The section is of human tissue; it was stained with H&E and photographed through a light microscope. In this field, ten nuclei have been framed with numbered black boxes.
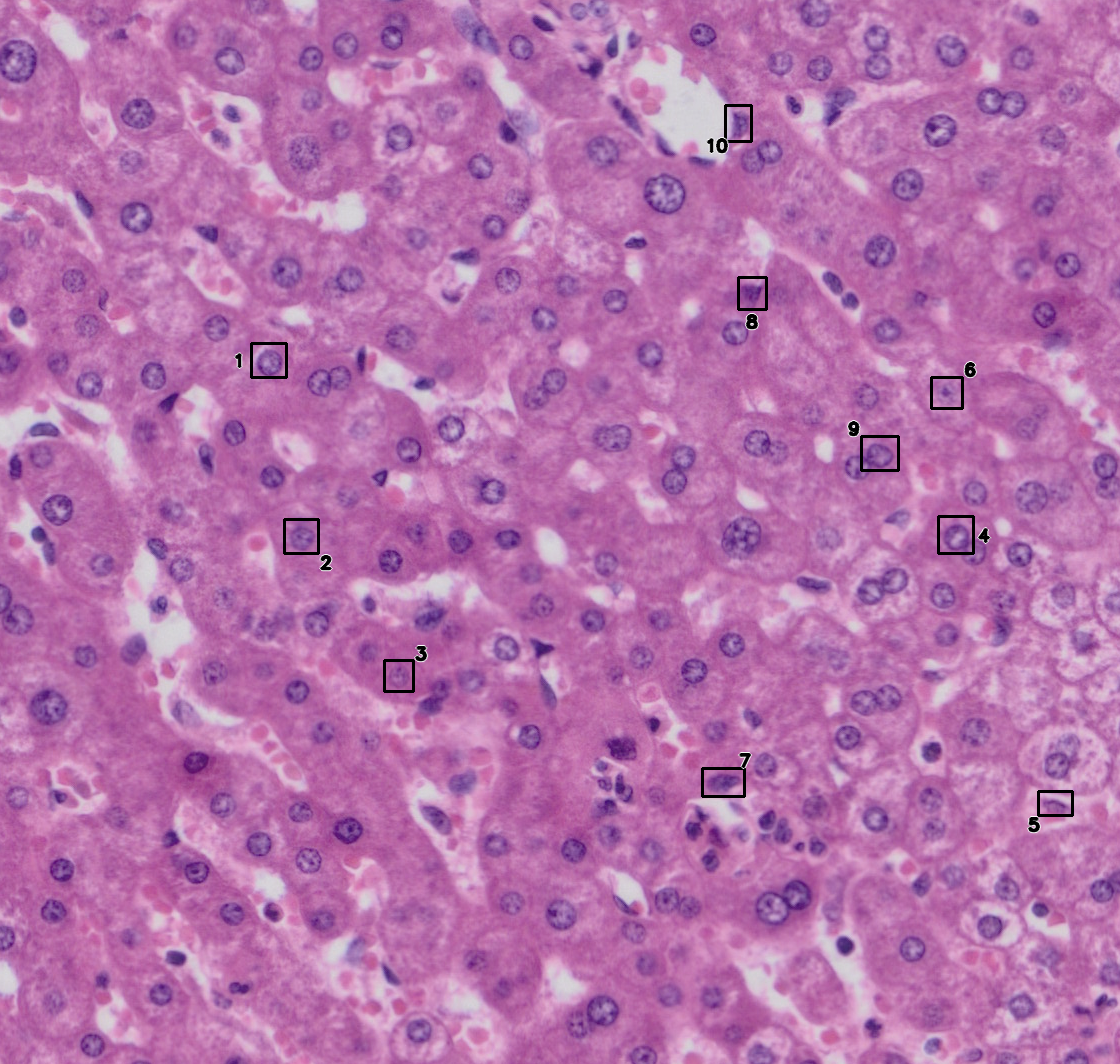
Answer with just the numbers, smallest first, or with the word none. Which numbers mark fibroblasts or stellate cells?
7, 8, 10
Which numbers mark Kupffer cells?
5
